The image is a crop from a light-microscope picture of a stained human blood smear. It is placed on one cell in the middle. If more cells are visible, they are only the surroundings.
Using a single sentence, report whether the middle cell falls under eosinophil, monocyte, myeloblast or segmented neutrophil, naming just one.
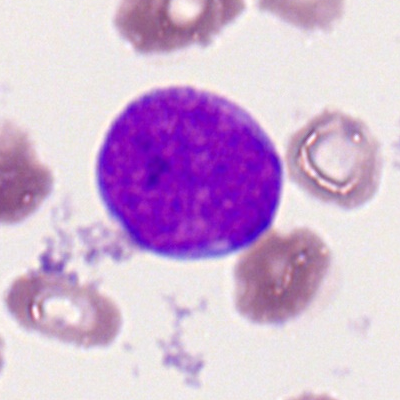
On this slide crop, the central cell is a myeloblast.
